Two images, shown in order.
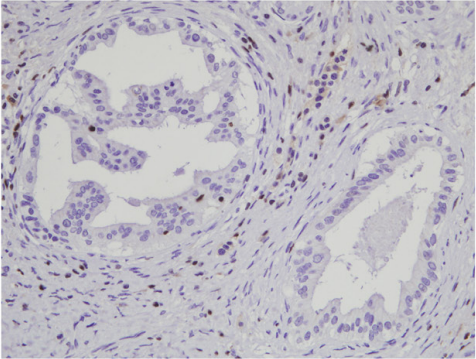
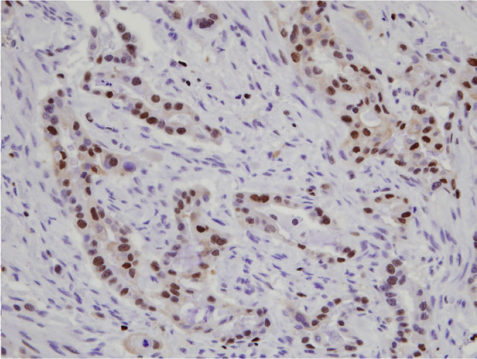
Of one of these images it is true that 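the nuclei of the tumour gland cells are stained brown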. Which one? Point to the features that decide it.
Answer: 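The second image. Second image: most nuclei of the epithelial gland cells are dark brown. First image: the nuclei lining the glands are blue, only scattered stromal nuclei are brown.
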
